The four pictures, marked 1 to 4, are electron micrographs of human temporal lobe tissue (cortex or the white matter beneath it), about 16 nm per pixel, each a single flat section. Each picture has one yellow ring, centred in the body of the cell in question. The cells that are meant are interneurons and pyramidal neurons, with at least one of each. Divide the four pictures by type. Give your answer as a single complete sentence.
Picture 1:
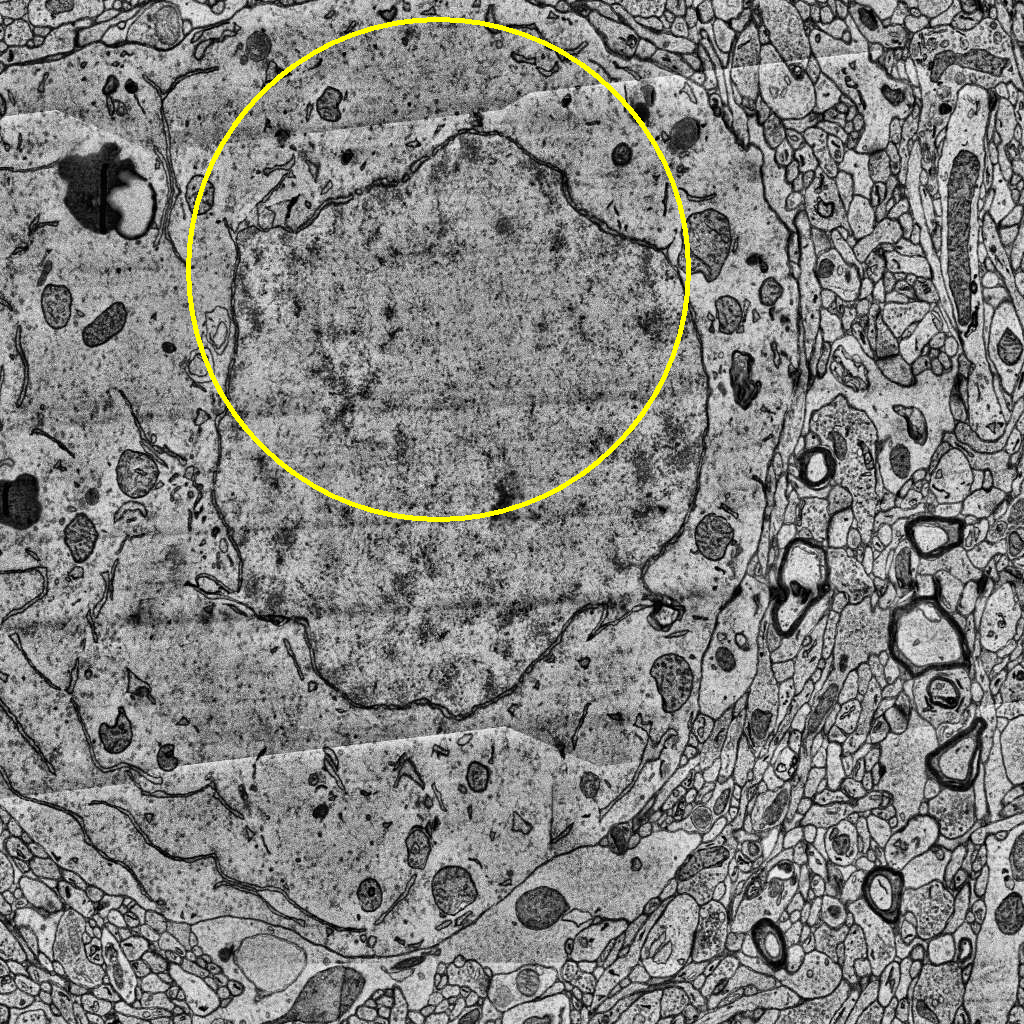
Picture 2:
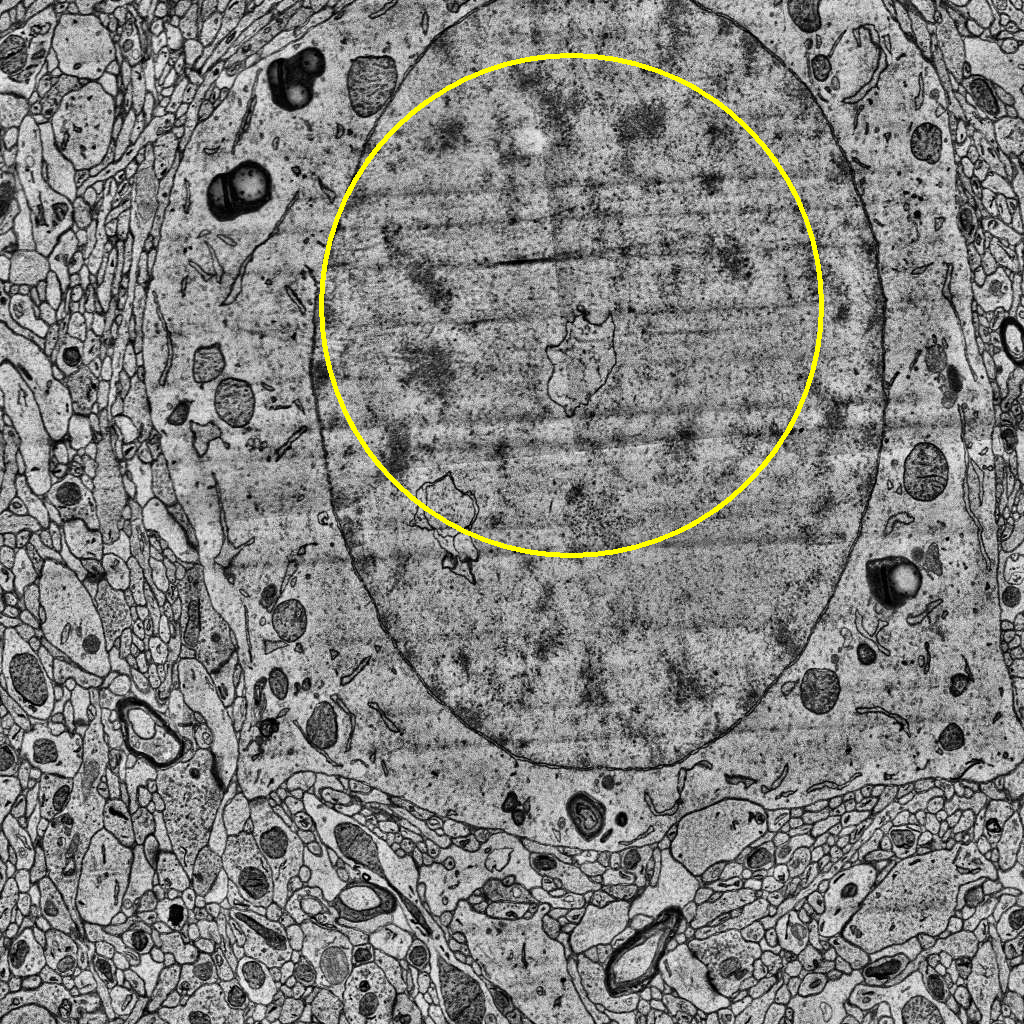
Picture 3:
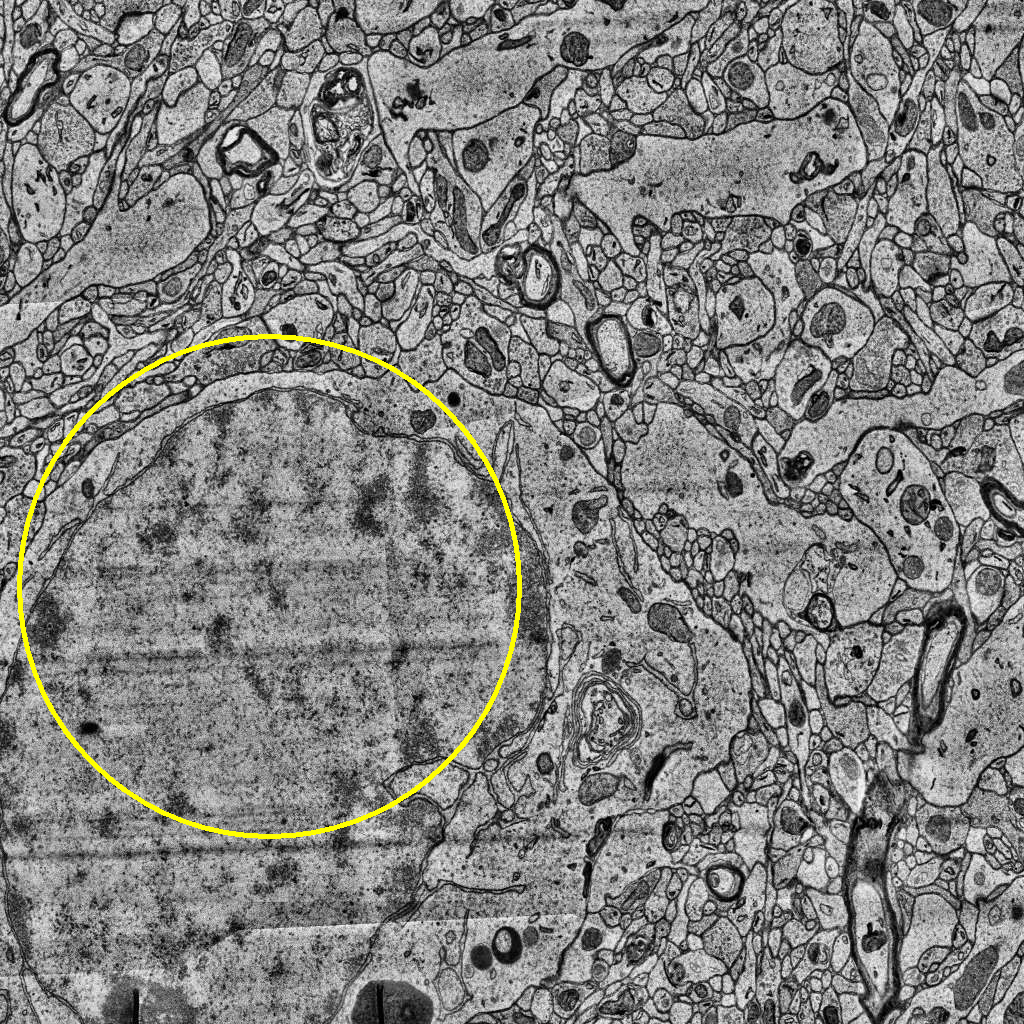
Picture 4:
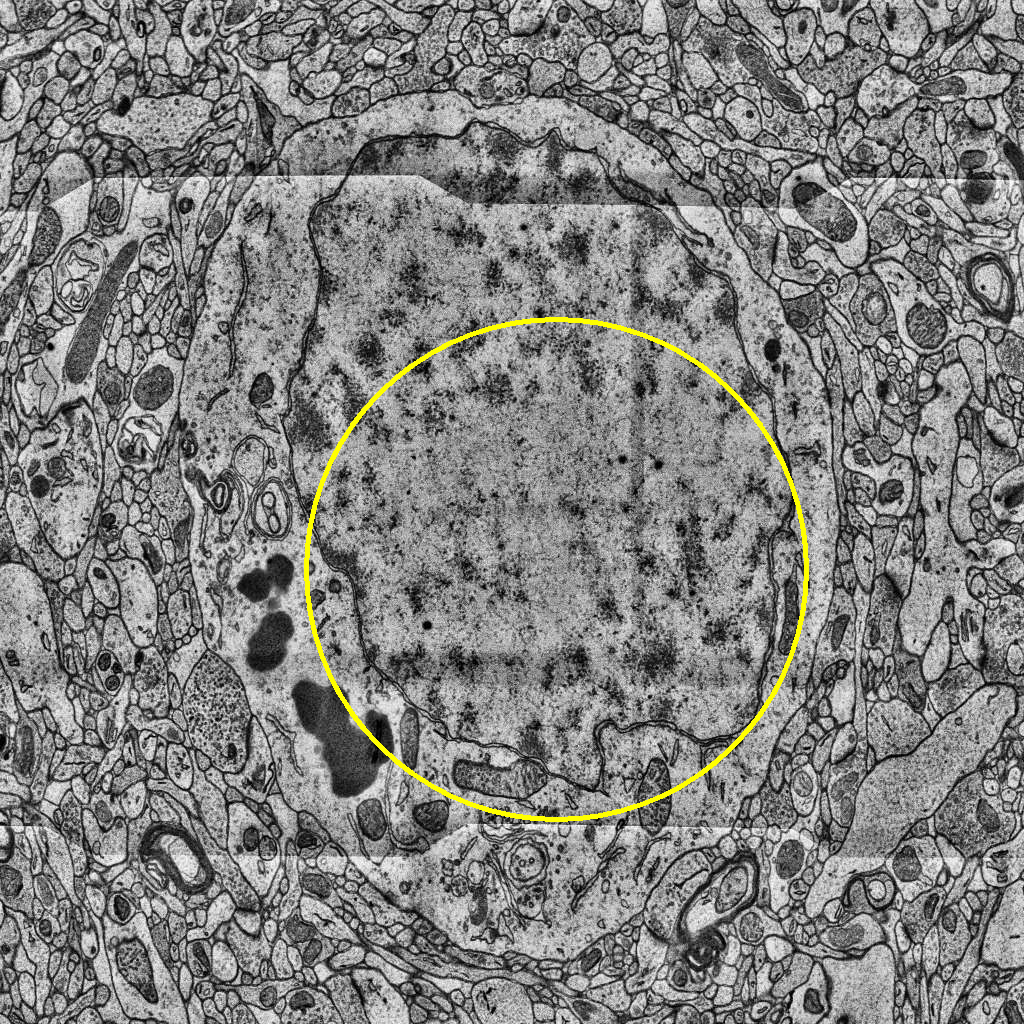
Pictures 3 and 4 show interneurons, and pictures 1 and 2 show pyramidal neurons.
